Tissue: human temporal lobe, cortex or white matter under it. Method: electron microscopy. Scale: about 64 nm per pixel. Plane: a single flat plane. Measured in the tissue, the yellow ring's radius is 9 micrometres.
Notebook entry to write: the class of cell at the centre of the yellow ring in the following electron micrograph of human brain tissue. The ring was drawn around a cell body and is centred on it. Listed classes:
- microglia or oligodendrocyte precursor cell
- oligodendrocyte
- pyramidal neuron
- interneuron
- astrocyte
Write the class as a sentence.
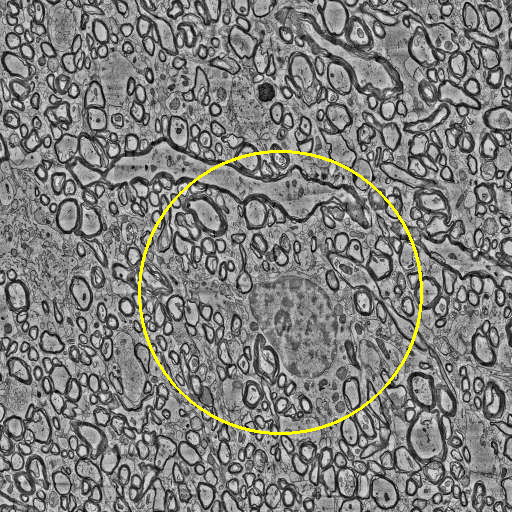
The yellow ring sits on an oligodendrocyte.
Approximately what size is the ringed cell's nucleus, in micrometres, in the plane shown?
The nucleus works out at approximately 7 by 5 micrometres in this plane.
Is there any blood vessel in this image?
No.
